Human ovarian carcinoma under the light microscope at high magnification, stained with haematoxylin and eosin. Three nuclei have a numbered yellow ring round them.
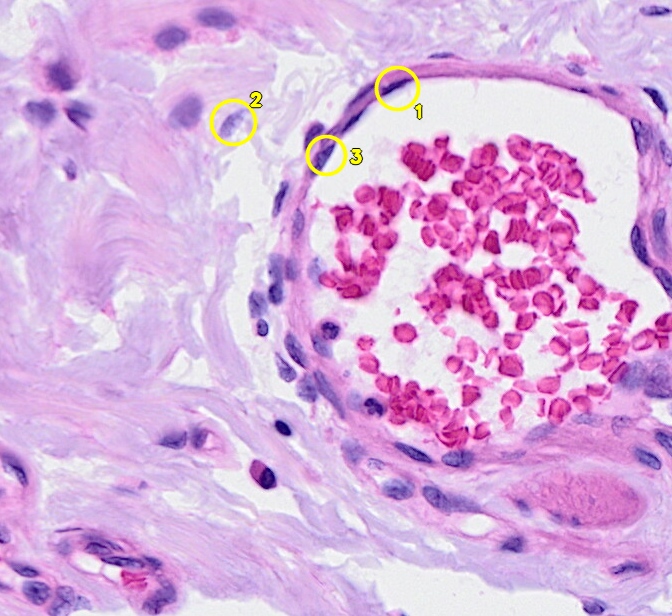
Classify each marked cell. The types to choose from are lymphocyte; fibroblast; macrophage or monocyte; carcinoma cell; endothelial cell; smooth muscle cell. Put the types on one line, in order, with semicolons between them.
endothelial cell; fibroblast; endothelial cell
